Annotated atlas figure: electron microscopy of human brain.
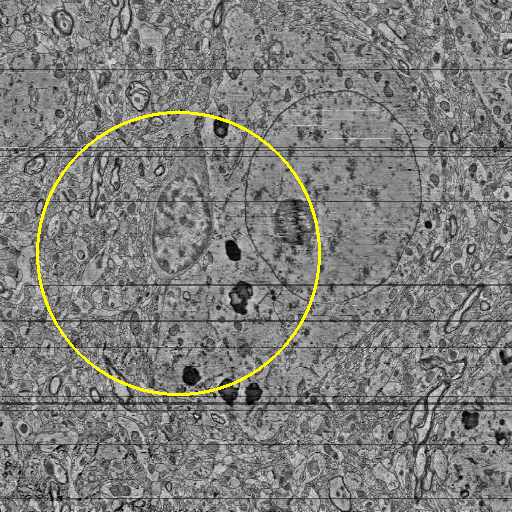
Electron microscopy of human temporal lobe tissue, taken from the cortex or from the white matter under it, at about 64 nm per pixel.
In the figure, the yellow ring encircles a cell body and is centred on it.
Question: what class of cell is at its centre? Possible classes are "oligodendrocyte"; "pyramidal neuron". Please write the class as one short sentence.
The yellow ring is drawn around an oligodendrocyte.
